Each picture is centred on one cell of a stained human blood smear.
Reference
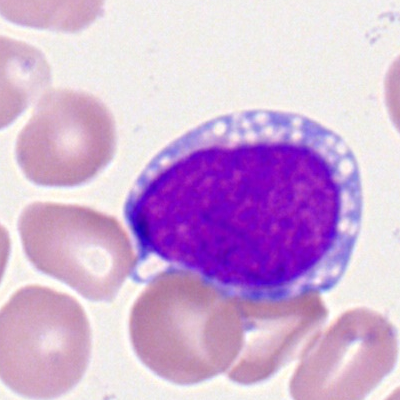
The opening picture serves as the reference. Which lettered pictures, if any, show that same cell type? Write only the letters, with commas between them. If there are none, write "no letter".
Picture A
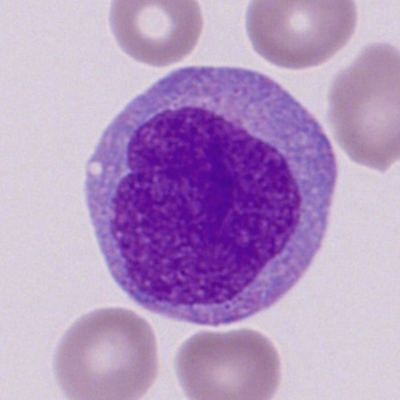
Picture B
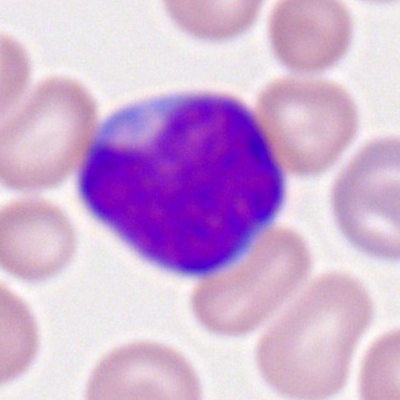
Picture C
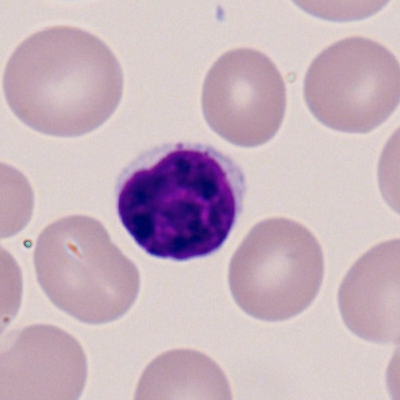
A, B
